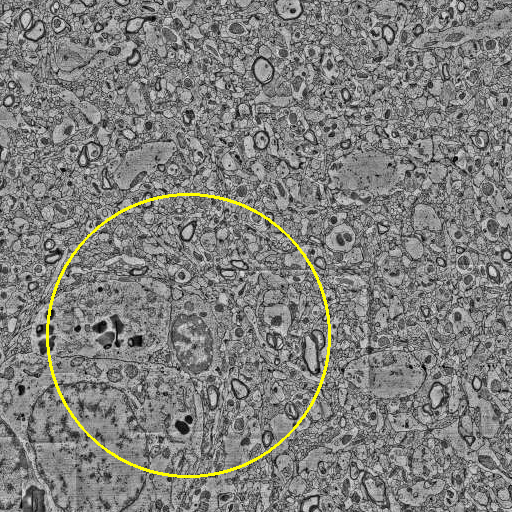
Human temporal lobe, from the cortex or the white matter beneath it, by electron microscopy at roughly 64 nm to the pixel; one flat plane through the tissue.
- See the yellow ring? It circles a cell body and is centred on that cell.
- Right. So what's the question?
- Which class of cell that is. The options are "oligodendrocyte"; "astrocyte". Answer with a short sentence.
The centre of the ring holds an oligodendrocyte.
